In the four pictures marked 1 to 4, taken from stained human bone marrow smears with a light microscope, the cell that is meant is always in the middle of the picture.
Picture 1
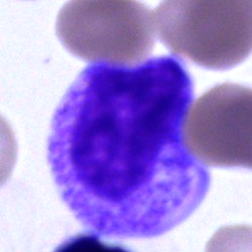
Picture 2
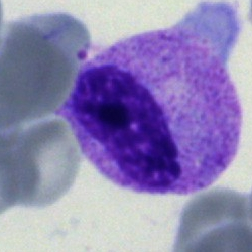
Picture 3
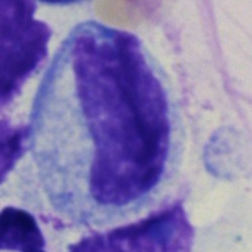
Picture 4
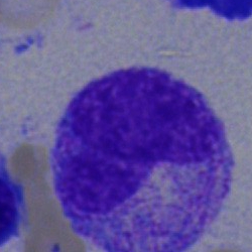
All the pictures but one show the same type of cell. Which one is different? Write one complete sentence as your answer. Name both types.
All pictures except 1 show metamyelocytes; picture 1 shows a promyelocyte.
